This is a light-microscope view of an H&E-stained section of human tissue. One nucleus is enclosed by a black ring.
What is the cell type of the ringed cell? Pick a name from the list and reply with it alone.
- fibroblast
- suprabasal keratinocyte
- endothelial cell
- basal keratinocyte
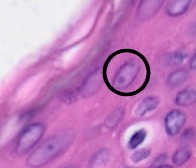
suprabasal keratinocyte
